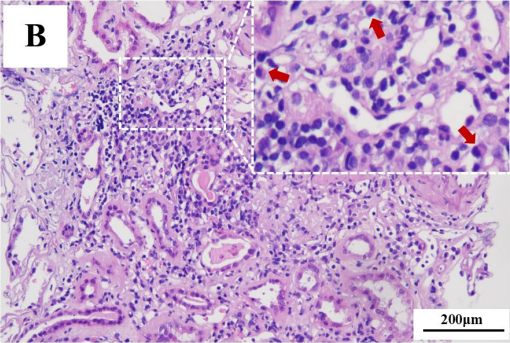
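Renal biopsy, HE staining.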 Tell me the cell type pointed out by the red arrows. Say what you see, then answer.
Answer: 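They lie among a dense infiltrate of small round cells between tubules.
Plasma cells.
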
